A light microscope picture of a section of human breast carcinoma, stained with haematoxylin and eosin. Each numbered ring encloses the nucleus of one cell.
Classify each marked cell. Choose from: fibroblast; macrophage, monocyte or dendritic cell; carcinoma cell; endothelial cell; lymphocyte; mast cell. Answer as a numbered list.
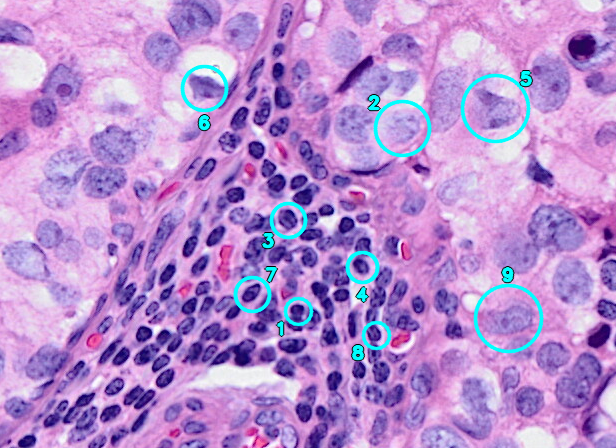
1. lymphocyte
2. carcinoma cell
3. lymphocyte
4. lymphocyte
5. carcinoma cell
6. carcinoma cell
7. lymphocyte
8. lymphocyte
9. carcinoma cell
